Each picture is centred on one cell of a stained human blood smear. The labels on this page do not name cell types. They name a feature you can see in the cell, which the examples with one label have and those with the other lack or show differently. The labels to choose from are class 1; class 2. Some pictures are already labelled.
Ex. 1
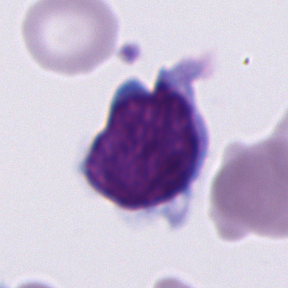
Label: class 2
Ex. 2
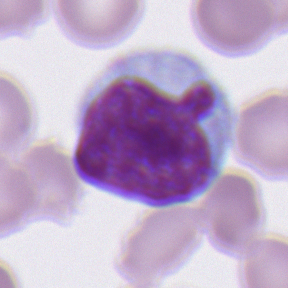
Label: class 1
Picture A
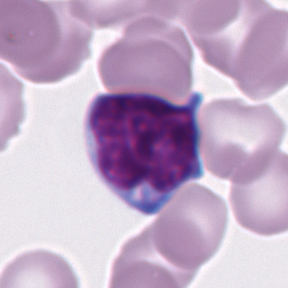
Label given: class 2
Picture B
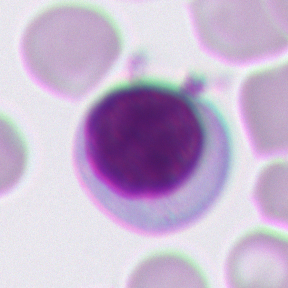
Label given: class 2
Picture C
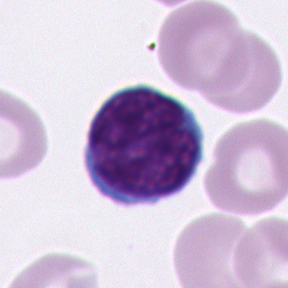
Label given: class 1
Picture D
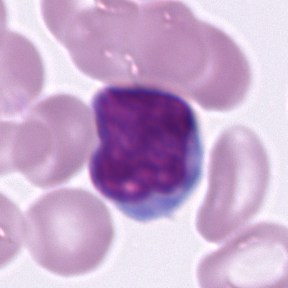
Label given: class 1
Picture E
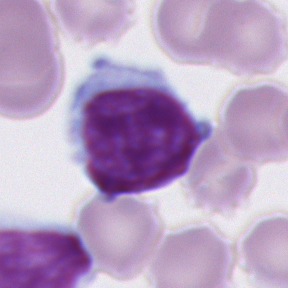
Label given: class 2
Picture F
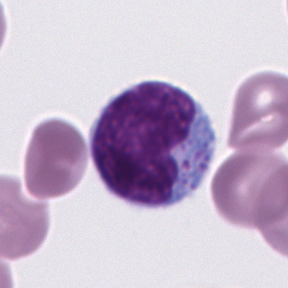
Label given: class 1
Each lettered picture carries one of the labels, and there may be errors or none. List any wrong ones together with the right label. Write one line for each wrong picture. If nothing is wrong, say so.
B: change class 2 to class 1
